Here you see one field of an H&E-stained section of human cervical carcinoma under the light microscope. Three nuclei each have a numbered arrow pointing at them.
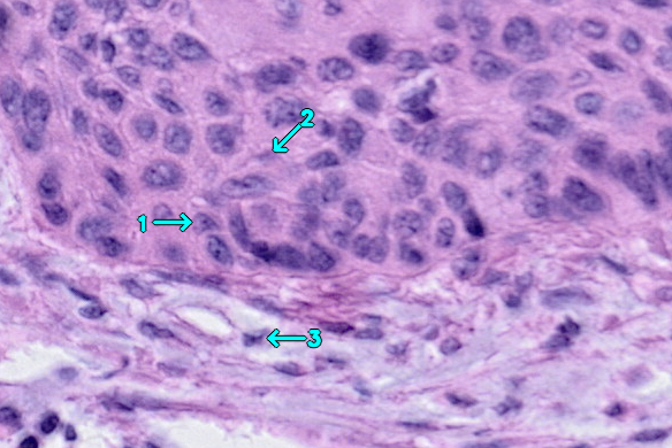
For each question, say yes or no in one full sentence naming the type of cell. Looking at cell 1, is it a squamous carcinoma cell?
Yes, the cell with the mark numbered 1 is a squamous carcinoma cell.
